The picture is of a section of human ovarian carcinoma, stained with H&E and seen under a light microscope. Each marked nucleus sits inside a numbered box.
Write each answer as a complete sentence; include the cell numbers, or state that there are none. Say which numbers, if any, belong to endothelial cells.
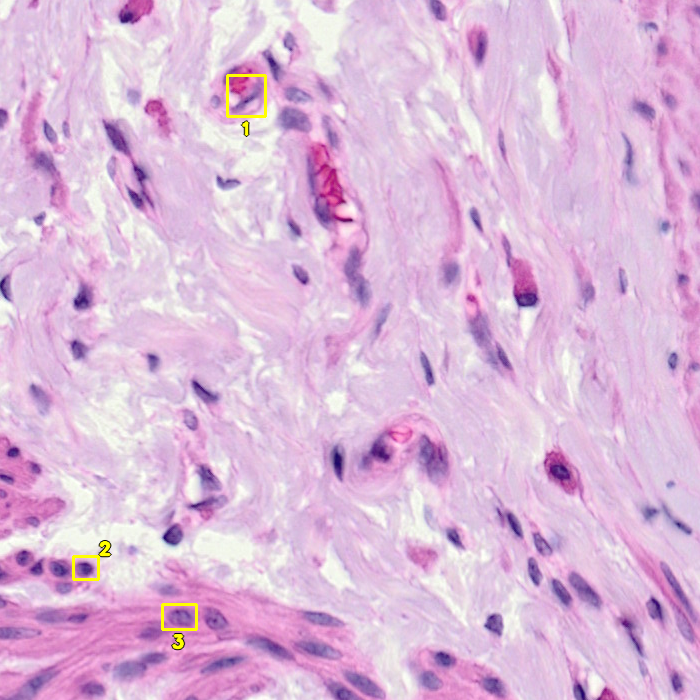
It is cell 1, and no other numbered cell, that is an endothelial cell.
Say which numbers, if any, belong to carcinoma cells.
No representatives of carcinoma cells are found among the numbered cells.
